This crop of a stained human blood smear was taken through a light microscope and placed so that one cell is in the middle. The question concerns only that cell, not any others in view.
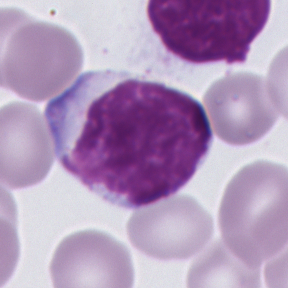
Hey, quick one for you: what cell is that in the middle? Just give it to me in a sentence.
In the middle of this smear crop, the cell is a large granular lymphocyte.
